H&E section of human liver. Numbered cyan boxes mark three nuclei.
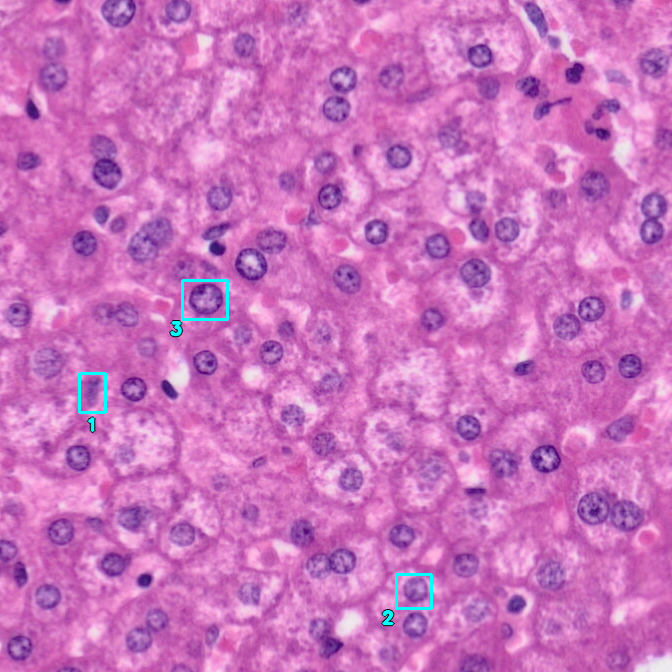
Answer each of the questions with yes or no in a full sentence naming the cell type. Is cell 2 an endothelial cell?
No, cell 2 has been misnamed; it is a hepatocyte, not an endothelial cell.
